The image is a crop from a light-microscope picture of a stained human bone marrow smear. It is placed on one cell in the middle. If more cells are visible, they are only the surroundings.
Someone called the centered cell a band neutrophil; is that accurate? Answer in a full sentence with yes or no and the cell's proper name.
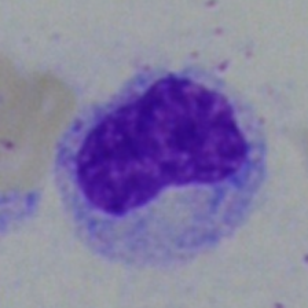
Yes, the cell shown centrally is a band neutrophil.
